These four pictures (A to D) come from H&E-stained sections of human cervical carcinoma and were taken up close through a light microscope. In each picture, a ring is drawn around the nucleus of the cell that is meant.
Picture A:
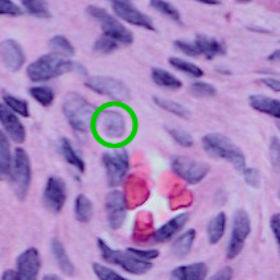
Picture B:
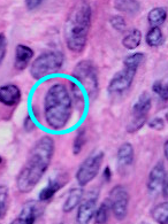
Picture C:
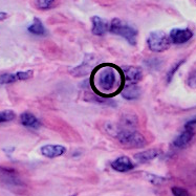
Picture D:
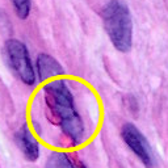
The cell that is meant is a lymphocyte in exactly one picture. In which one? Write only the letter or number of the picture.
C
